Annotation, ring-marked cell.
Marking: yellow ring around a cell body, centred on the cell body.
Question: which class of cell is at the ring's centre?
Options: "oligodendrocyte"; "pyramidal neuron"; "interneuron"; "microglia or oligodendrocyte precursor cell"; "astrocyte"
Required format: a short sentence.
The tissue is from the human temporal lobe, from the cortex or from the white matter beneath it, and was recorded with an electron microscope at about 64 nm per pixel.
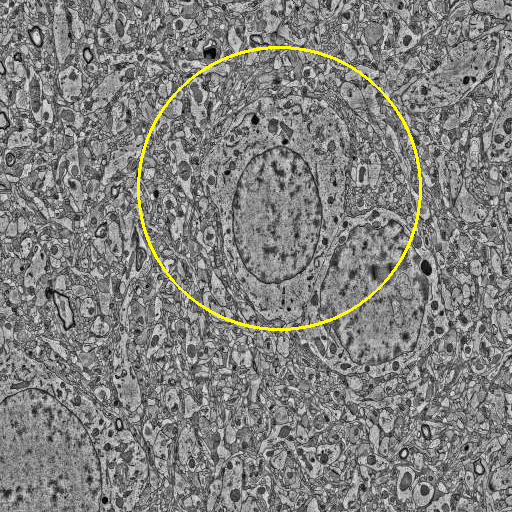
At the ring's centre is a pyramidal neuron.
